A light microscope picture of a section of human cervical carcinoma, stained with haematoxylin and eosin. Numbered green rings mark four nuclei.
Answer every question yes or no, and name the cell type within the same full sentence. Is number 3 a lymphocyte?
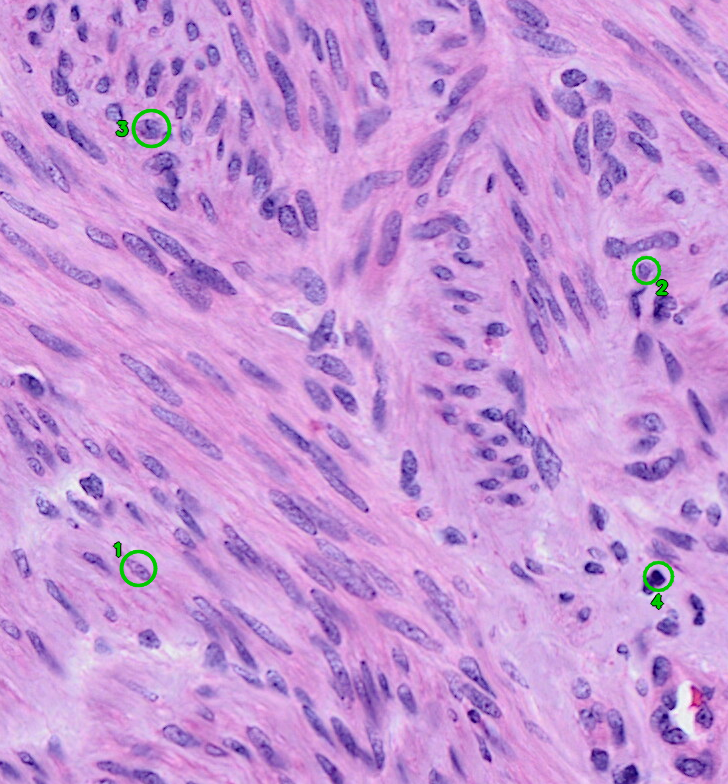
No, it is not a lymphocyte that bears number 3 but a smooth muscle cell.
